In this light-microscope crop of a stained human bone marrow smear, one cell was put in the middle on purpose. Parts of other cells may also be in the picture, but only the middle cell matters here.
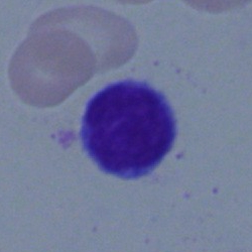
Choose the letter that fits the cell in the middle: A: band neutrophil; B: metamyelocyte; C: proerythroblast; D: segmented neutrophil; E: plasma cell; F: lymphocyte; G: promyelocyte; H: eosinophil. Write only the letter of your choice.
F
